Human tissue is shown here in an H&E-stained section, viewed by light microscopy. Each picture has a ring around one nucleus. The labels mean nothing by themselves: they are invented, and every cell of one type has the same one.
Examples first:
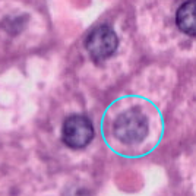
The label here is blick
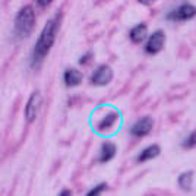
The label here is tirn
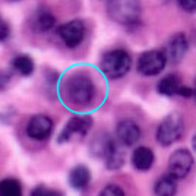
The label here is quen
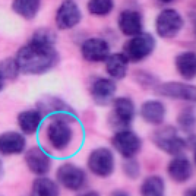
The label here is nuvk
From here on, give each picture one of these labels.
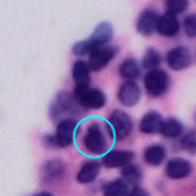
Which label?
nuvk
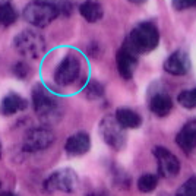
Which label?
quen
